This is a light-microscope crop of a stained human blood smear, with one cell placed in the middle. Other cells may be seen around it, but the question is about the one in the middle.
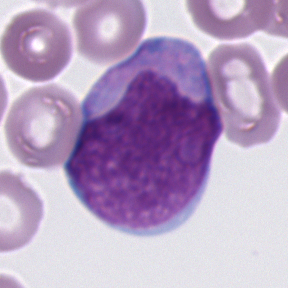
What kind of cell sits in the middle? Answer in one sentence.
The cell in the exact centre of the crop is an atypical promyelocyte.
